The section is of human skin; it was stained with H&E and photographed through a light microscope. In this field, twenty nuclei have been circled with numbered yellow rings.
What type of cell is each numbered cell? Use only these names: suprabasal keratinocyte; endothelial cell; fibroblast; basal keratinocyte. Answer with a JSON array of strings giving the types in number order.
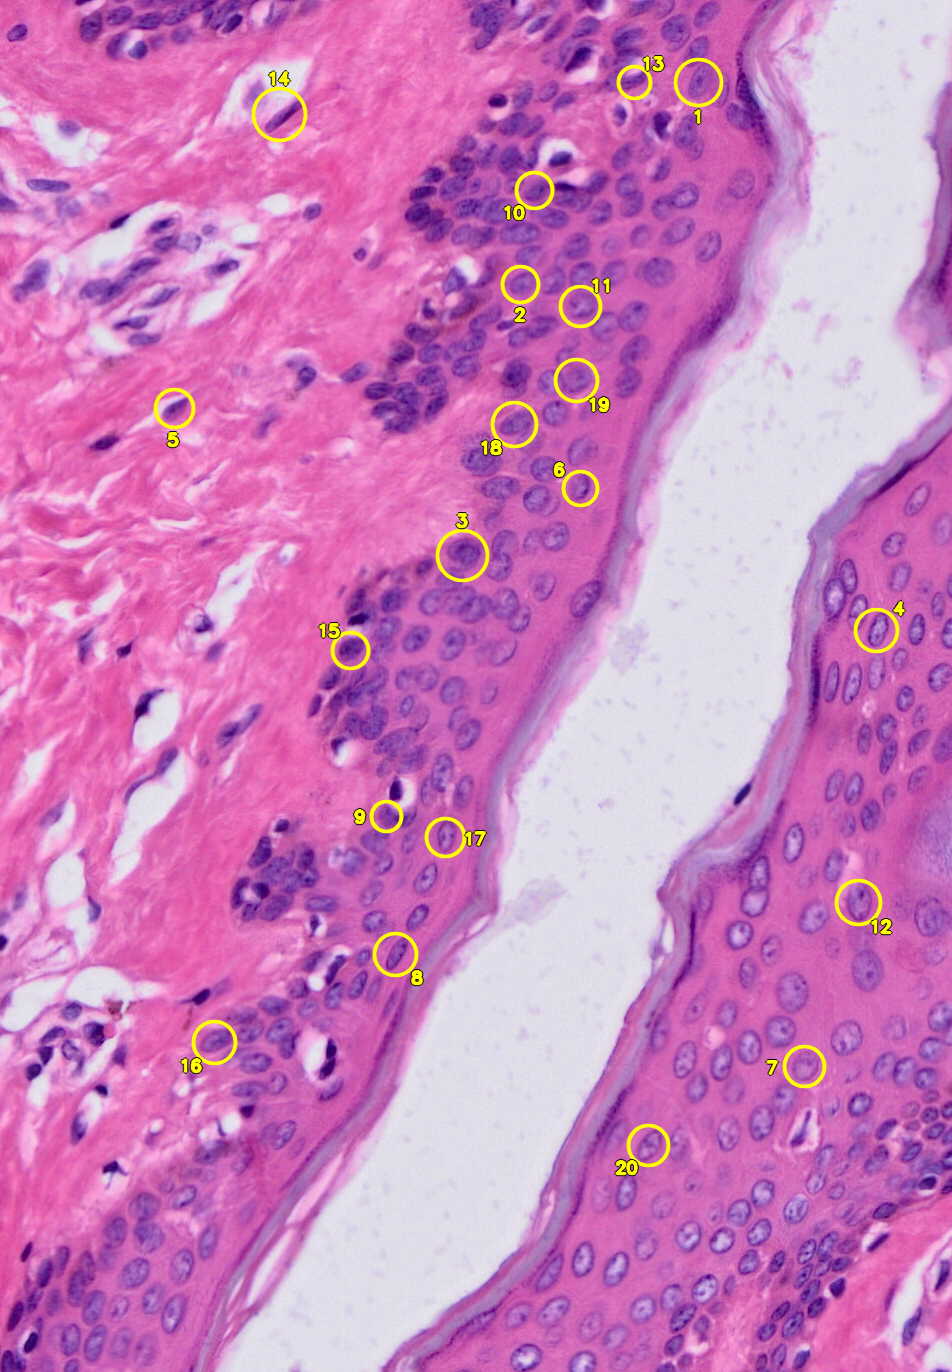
["suprabasal keratinocyte", "suprabasal keratinocyte", "basal keratinocyte", "suprabasal keratinocyte", "fibroblast", "suprabasal keratinocyte", "suprabasal keratinocyte", "suprabasal keratinocyte", "basal keratinocyte", "basal keratinocyte", "suprabasal keratinocyte", "suprabasal keratinocyte", "basal keratinocyte", "fibroblast", "basal keratinocyte", "basal keratinocyte", "suprabasal keratinocyte", "basal keratinocyte", "suprabasal keratinocyte", "suprabasal keratinocyte"]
